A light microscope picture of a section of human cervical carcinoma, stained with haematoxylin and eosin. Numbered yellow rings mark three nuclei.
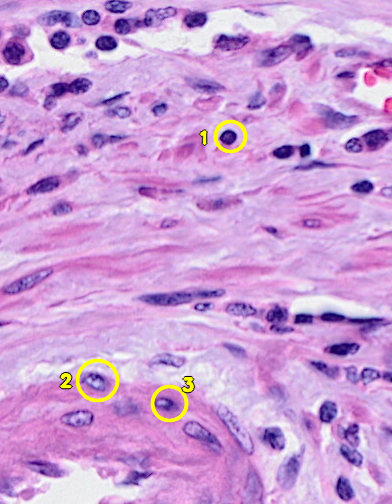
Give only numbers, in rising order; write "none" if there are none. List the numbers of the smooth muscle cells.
2, 3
